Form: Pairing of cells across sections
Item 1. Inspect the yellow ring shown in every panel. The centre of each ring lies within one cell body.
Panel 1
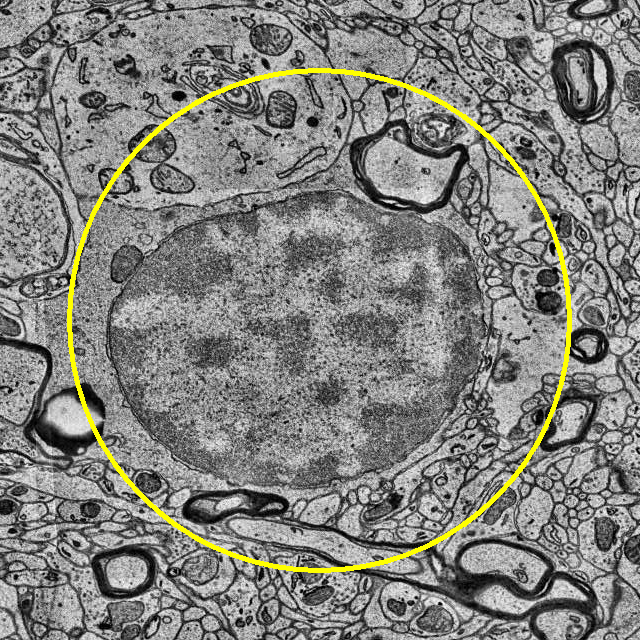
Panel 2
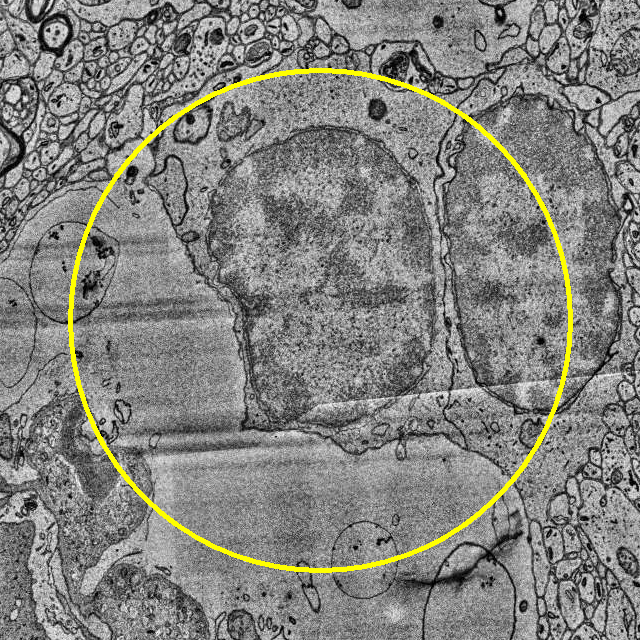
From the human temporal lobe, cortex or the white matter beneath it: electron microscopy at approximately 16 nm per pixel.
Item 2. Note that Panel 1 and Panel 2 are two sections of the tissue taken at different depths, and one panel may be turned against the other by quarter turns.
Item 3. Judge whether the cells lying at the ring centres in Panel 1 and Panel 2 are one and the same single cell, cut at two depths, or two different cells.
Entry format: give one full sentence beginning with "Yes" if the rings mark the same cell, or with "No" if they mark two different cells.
No, the rings mark two cells rather than a single cell.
